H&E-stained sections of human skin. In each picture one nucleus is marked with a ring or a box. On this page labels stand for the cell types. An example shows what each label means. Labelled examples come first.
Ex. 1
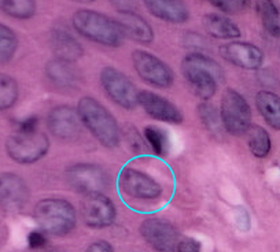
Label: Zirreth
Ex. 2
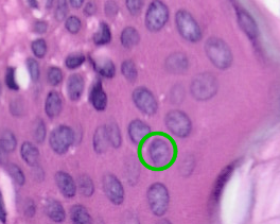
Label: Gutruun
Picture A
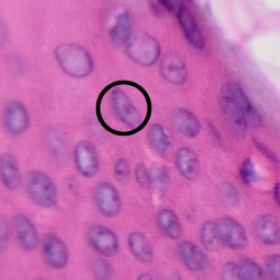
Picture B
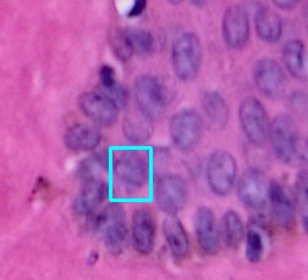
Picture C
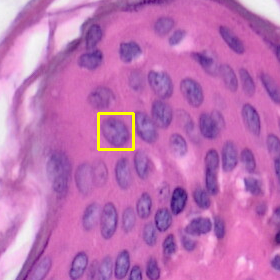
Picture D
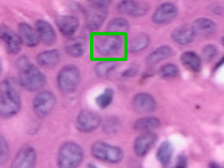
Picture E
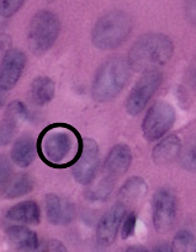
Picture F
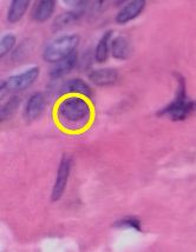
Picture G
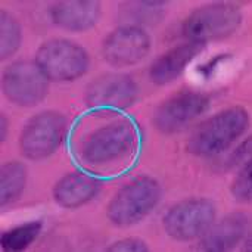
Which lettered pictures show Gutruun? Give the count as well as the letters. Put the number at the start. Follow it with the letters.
4: A, C, D, G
